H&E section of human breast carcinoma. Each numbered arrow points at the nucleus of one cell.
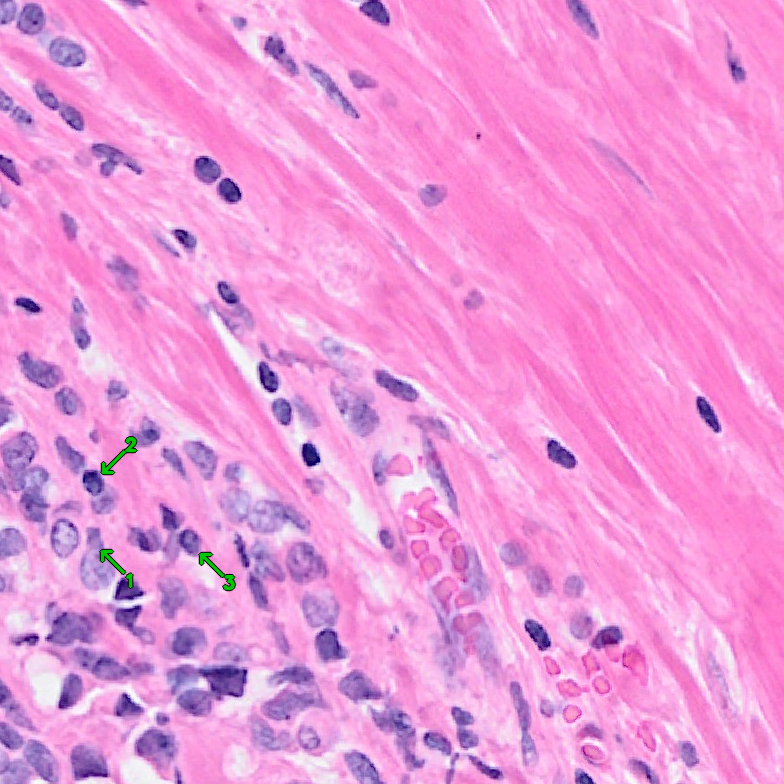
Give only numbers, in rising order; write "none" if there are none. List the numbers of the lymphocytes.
2, 3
